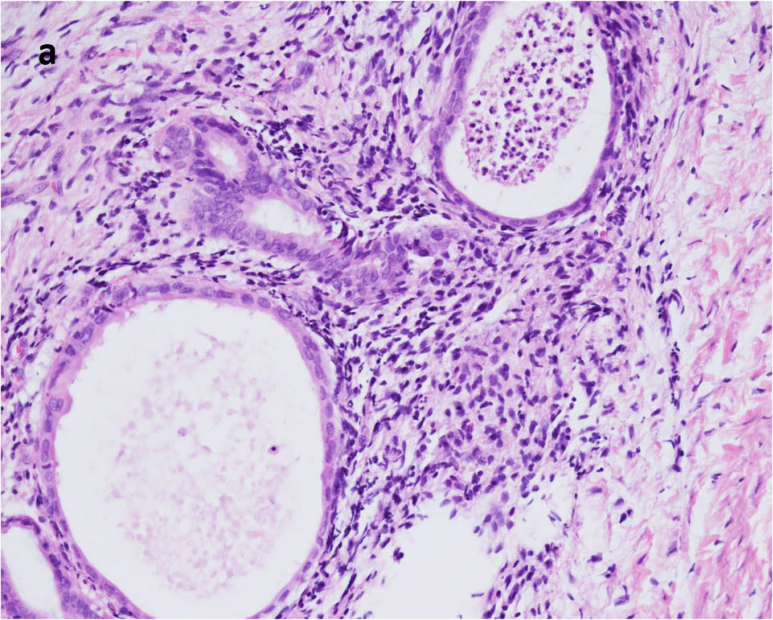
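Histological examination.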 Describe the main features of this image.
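Glands lined by a single layer of cuboidal to low columnar epithelium lie within a dense, cellular stroma of short spindle cells. Several glands have dilated lumina holding pale pink material and scattered loose cells. The stromal cells are packed closely around the glands and have small, elongated, dark purple nuclei and scant cytoplasm. Farther from the glands the stroma gives way to looser, paler pink fibrous tissue.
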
